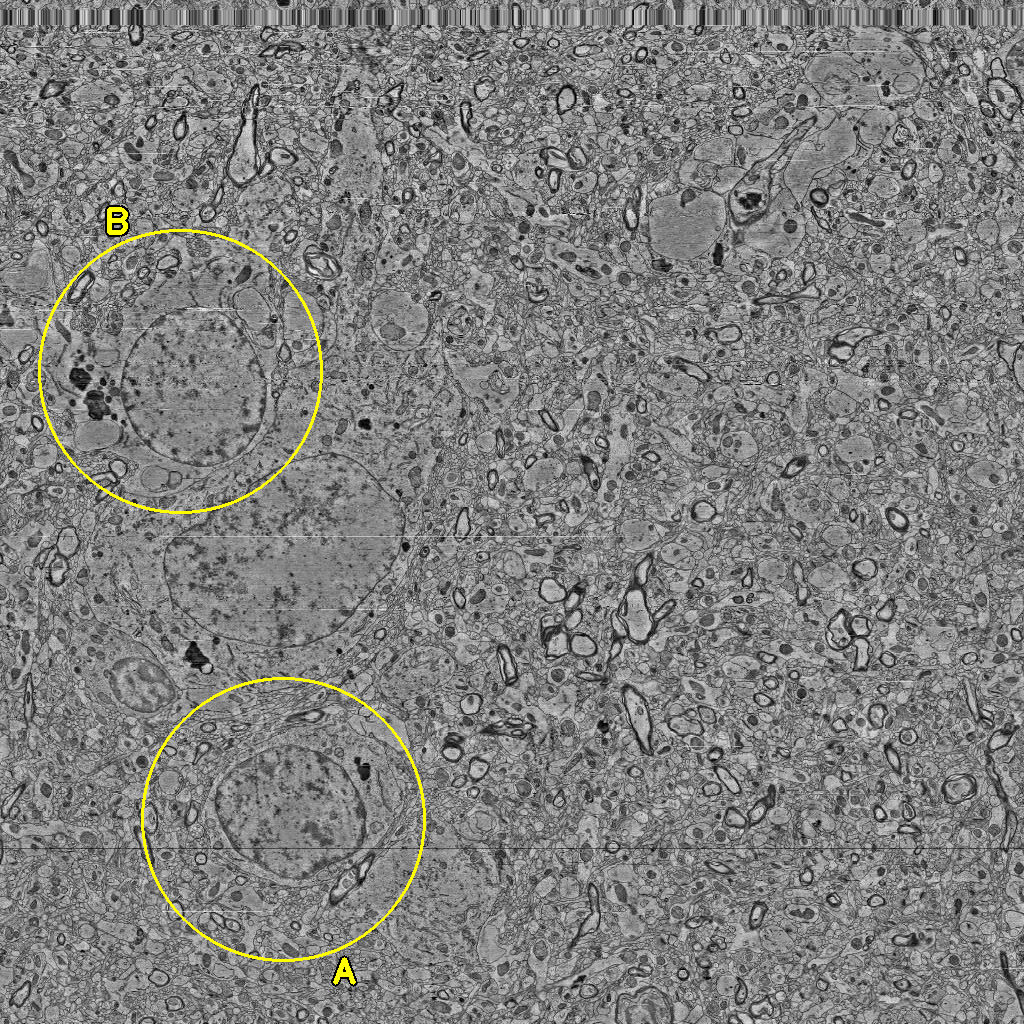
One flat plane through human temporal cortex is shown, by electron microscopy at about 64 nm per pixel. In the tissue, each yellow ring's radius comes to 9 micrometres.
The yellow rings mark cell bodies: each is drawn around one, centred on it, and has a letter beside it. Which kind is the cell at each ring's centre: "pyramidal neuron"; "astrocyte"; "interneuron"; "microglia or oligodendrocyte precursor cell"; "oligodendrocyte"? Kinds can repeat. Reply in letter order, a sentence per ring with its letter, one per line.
At the centre of ring A lies an interneuron.
At the centre of ring B lies an astrocyte.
